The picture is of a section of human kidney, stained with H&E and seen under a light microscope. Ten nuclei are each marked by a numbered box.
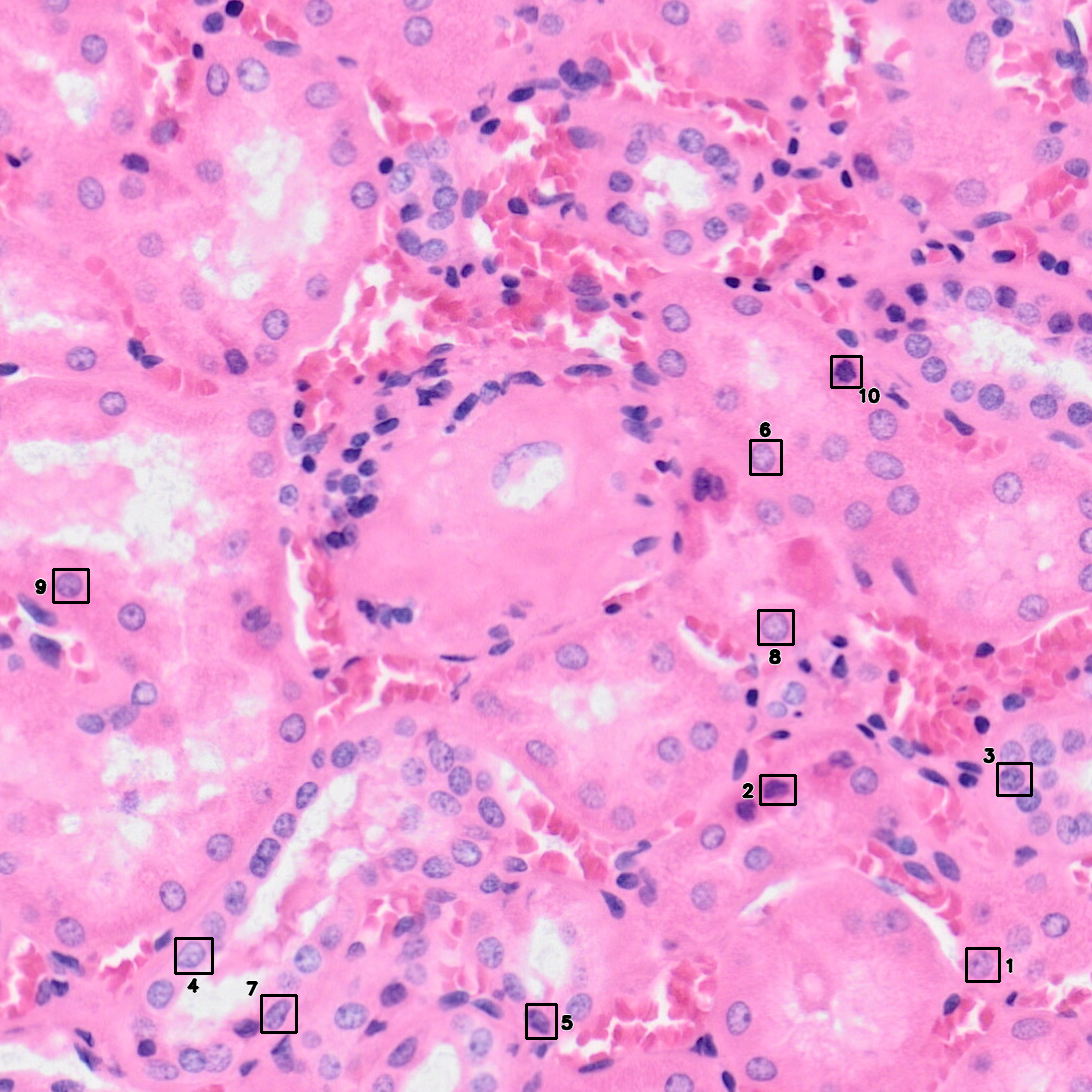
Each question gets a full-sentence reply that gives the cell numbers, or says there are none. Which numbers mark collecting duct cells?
The cells with labels 3, 4, 5 and 7 are collecting duct cells.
